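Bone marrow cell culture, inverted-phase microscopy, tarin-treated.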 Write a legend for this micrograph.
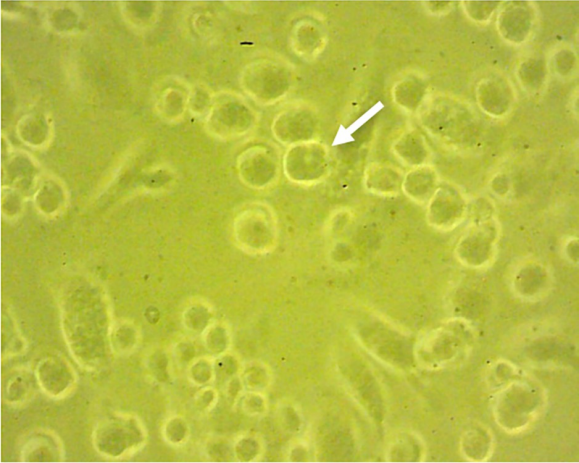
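A few flattened, elongated or spindle-shaped adherent cells lie among and beneath them. The rounded cells have granular contents and some show a distinct rounded nuclear outline.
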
